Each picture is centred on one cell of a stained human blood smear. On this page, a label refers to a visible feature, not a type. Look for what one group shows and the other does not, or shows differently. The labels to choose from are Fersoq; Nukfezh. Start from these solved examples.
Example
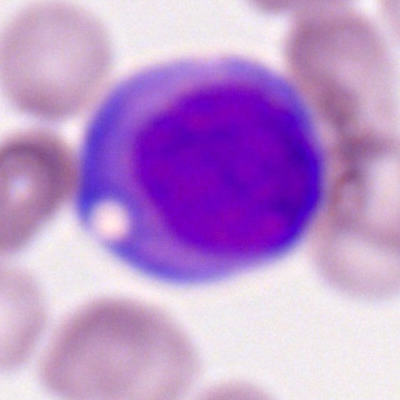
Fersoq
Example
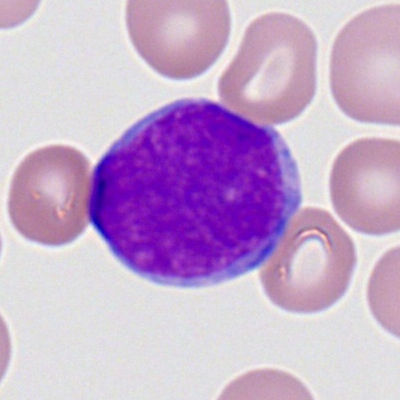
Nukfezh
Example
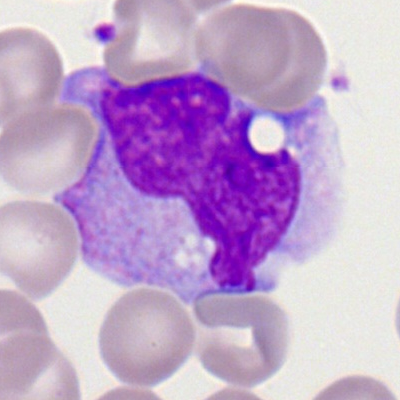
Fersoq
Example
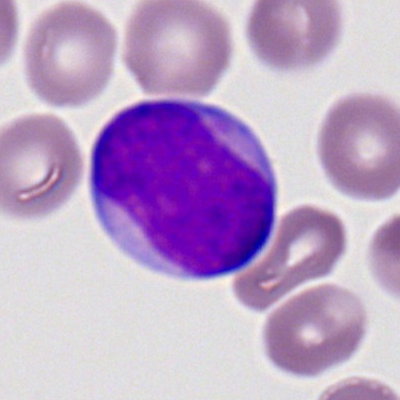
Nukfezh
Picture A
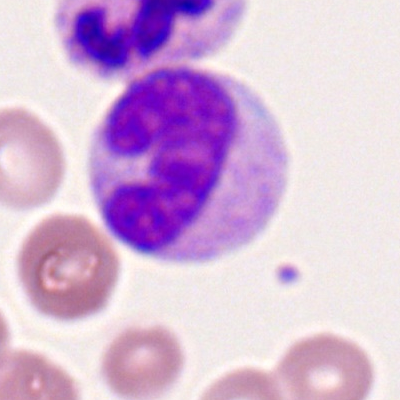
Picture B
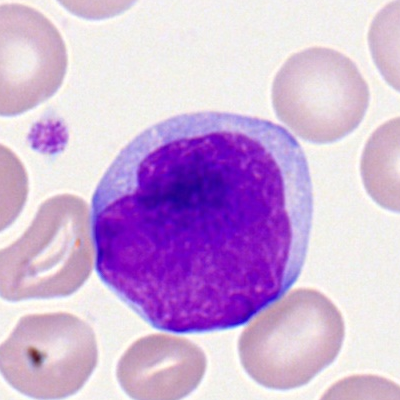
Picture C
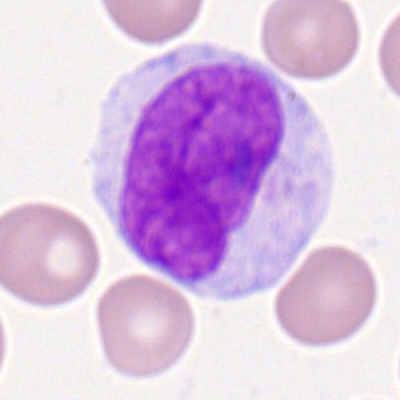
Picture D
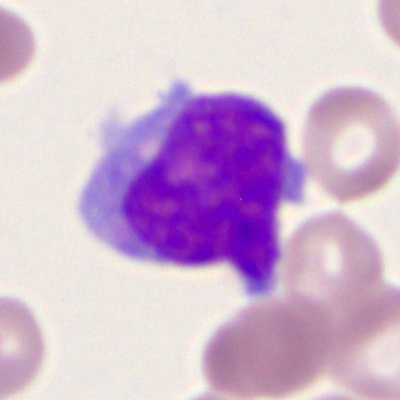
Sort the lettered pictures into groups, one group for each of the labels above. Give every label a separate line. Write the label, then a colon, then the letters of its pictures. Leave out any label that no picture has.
Nukfezh: A, B, C, D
